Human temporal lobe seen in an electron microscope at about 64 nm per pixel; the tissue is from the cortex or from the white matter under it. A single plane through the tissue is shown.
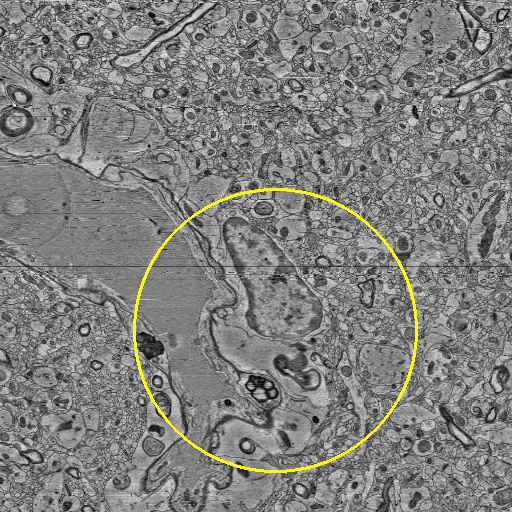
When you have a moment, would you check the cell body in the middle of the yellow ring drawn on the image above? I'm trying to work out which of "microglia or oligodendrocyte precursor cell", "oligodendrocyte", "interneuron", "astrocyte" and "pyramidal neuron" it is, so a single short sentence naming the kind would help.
This cell body belongs to a microglial cell or oligodendrocyte precursor cell.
